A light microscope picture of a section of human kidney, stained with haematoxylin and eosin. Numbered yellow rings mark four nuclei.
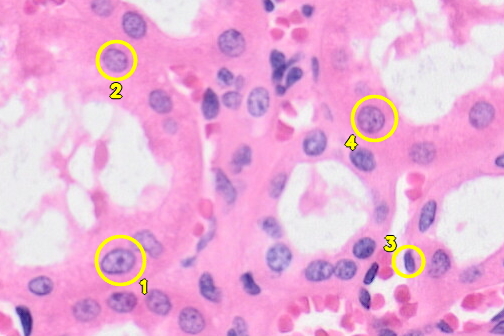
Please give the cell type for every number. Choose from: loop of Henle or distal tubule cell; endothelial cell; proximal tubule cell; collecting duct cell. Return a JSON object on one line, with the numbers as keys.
{"1": "proximal tubule cell", "2": "proximal tubule cell", "3": "endothelial cell", "4": "proximal tubule cell"}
